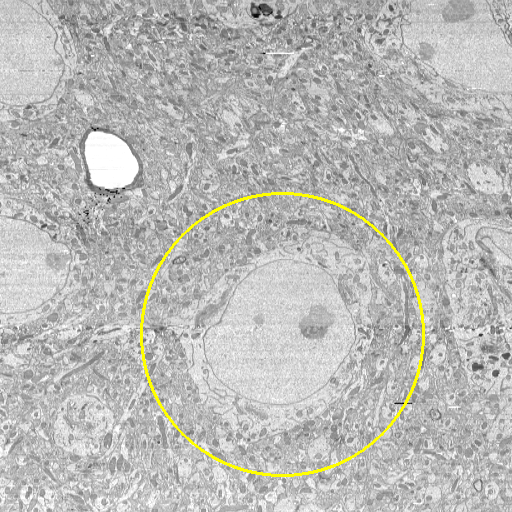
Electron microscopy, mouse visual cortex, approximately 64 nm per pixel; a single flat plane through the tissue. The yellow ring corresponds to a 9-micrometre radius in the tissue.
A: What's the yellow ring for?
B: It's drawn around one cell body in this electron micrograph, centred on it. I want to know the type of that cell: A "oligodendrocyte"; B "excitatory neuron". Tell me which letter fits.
B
